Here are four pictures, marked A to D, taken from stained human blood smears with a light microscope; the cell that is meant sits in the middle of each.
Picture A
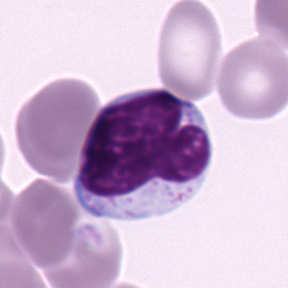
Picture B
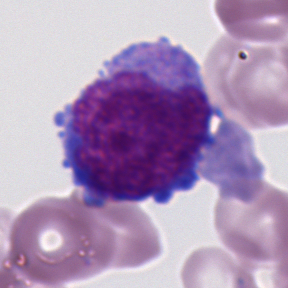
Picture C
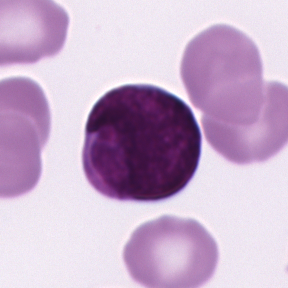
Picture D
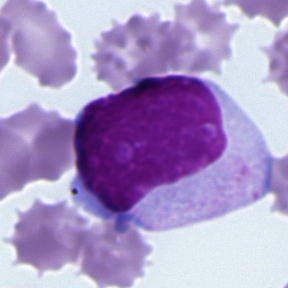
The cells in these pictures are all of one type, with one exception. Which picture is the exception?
A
